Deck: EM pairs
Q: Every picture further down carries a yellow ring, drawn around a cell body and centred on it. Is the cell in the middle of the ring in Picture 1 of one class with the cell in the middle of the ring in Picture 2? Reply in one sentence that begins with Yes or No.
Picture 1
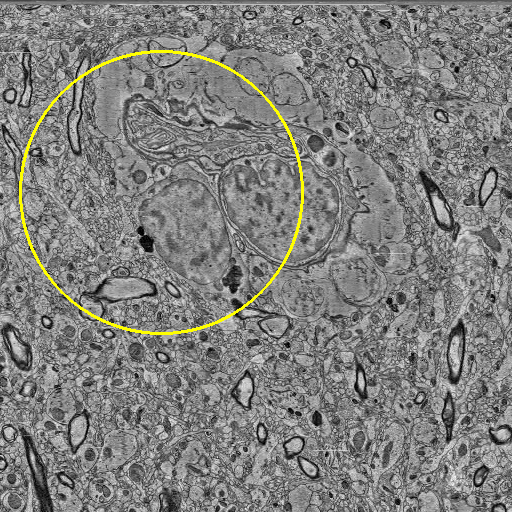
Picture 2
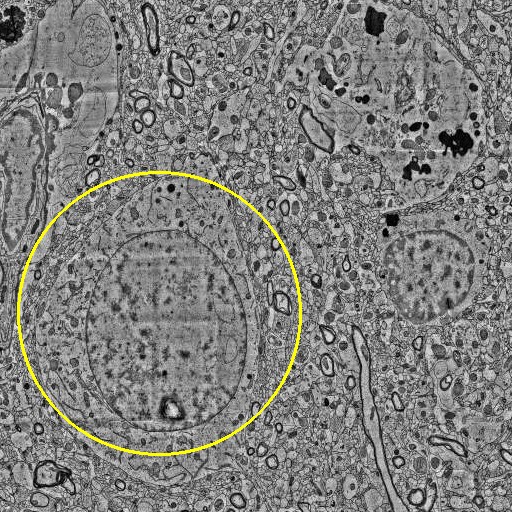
No, the cell centred in the ring of Picture 1 and the one in Picture 2 belong to separate classes.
